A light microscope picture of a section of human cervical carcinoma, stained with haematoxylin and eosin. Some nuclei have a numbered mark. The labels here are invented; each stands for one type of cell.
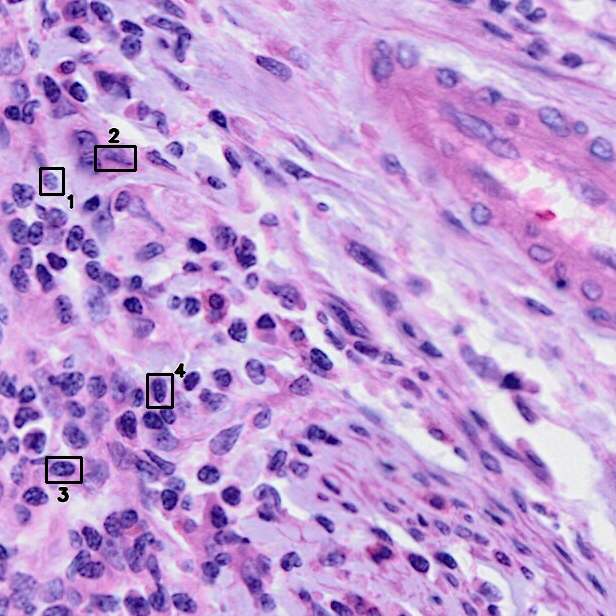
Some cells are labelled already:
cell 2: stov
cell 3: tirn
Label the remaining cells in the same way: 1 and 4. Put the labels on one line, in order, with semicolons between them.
tirn; tirn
